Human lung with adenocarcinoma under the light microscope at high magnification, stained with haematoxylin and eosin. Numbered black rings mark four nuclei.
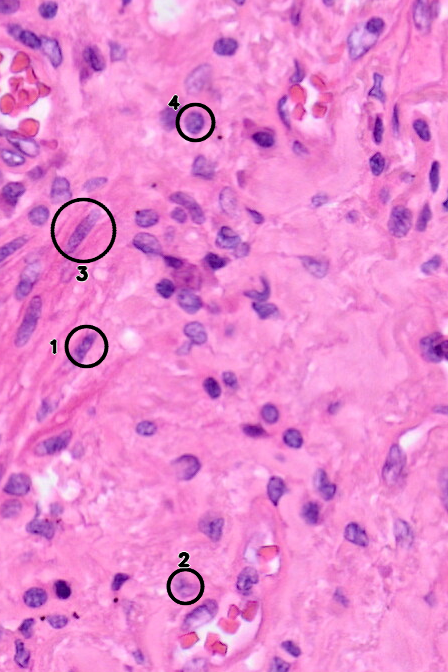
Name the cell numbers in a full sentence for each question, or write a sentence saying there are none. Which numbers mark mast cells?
It is only cell 4 that is a mast cell among the numbered cells.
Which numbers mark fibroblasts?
Cell 2 is a fibroblast, which is true of none of the other numbered cells.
